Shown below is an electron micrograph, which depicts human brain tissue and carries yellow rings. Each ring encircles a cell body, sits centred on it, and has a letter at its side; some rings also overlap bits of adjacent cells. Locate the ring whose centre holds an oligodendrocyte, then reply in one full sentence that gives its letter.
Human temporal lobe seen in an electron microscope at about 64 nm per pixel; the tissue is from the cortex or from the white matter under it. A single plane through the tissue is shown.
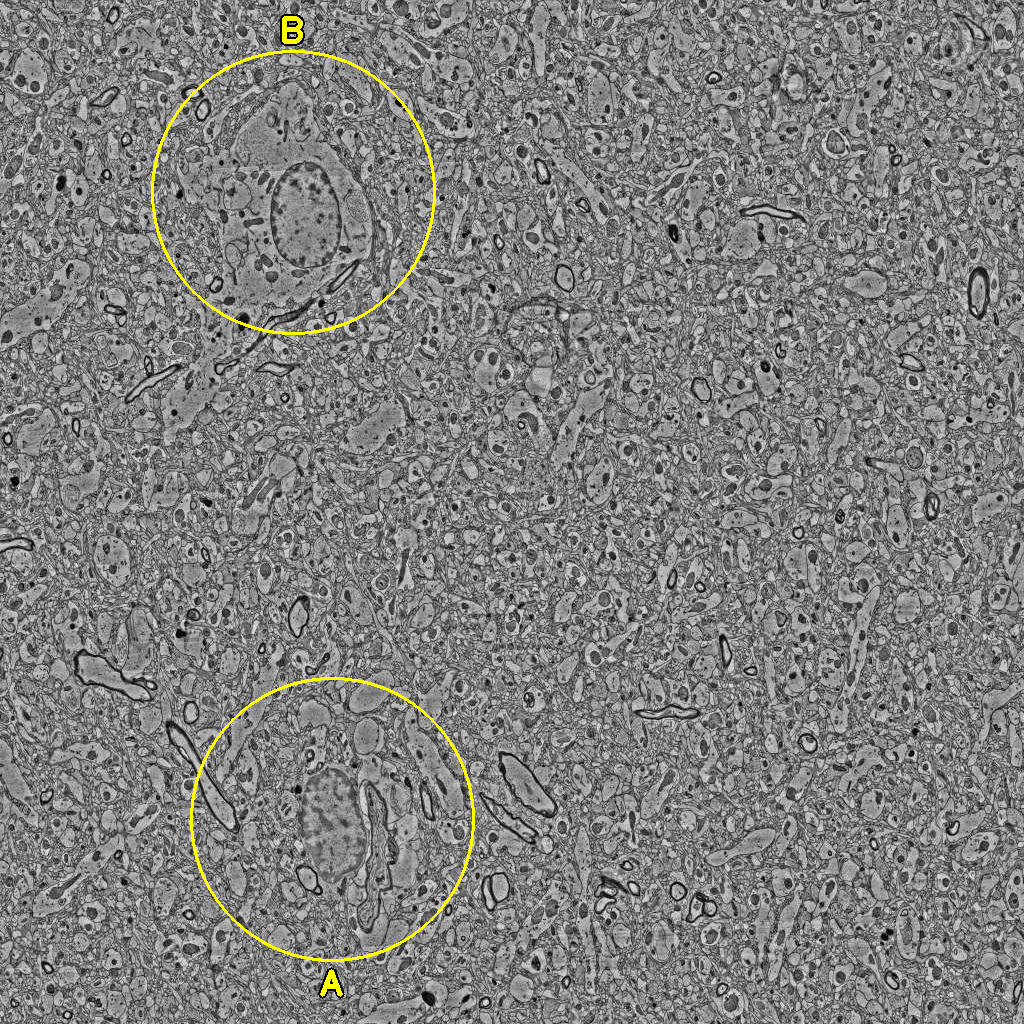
The ring centred on the cell asked for is the one marked A.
